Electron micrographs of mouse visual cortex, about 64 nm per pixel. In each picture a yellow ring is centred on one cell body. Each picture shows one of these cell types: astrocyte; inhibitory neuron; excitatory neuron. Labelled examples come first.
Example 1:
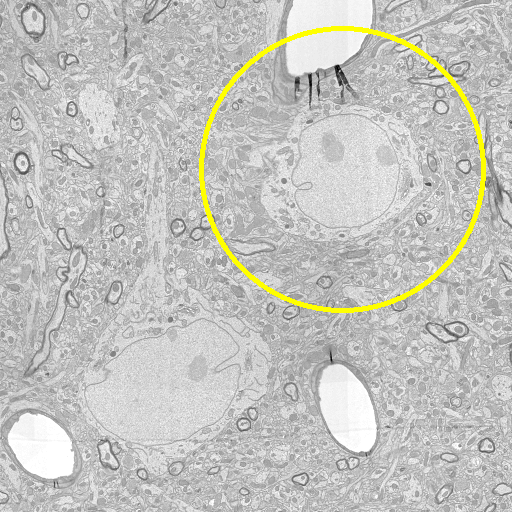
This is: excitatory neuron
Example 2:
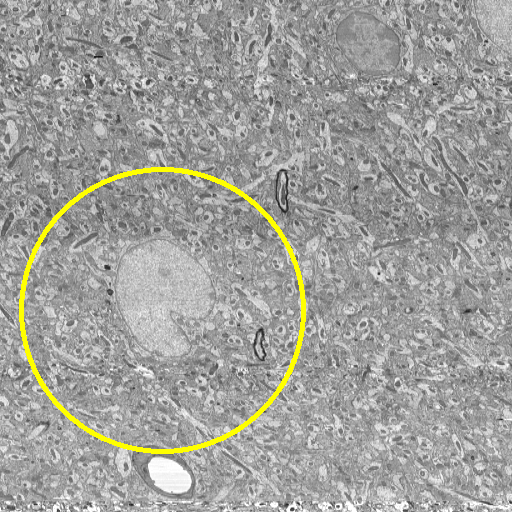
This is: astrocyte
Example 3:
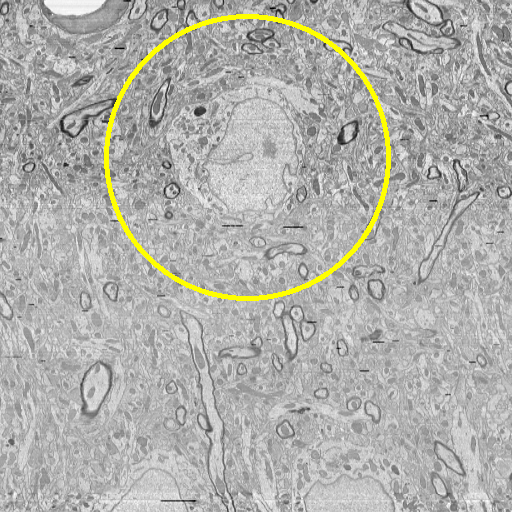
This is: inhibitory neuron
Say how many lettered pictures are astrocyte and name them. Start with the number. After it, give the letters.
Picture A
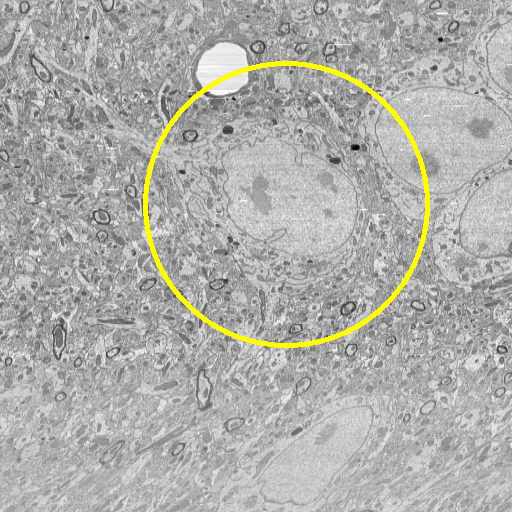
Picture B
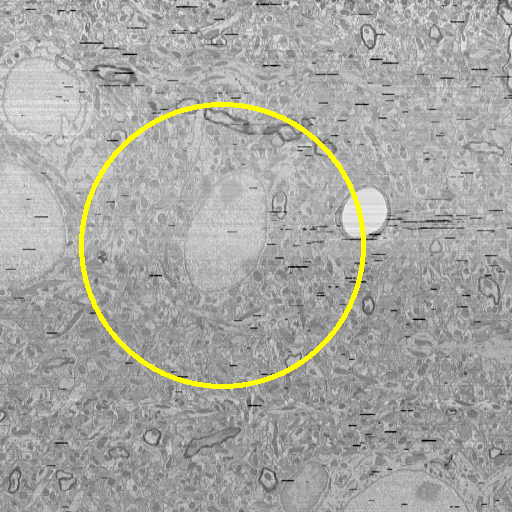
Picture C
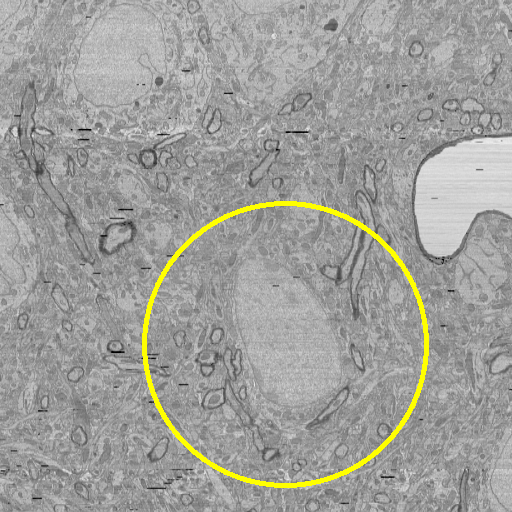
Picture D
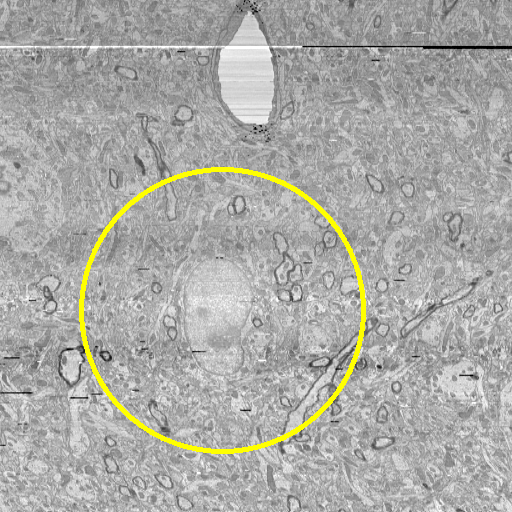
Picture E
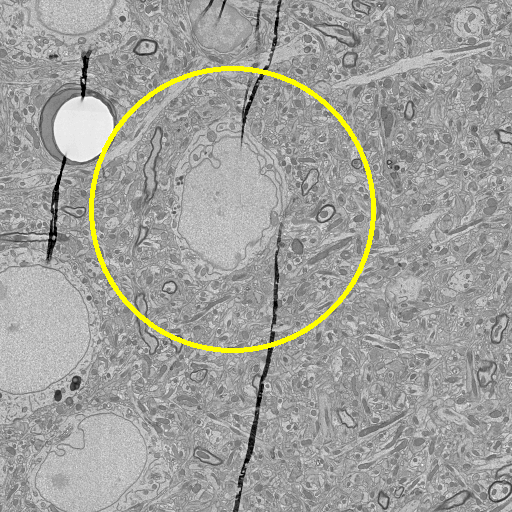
Count: 3 (B, C, D)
